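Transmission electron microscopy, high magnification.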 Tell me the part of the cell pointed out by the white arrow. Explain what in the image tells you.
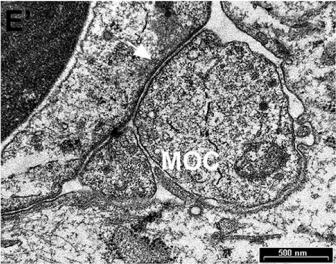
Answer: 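Synaptic cisterns. A rounded terminal contacts a cell containing a dark nucleus. The arrow marks a flattened cistern along the contact.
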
